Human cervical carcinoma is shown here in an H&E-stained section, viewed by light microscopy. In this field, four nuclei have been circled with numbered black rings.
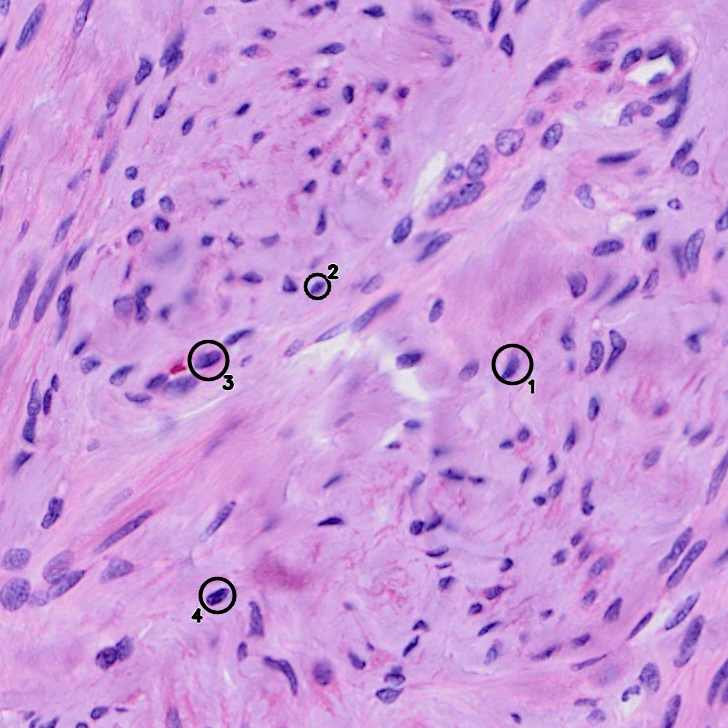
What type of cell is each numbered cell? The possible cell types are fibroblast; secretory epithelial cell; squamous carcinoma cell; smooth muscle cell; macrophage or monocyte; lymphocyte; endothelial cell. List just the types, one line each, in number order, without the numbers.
fibroblast
fibroblast
endothelial cell
lymphocyte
